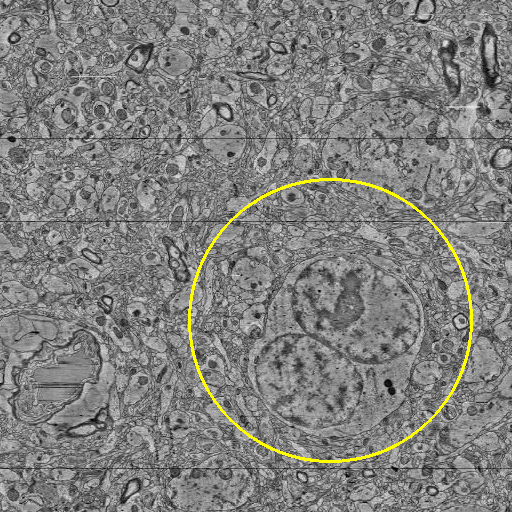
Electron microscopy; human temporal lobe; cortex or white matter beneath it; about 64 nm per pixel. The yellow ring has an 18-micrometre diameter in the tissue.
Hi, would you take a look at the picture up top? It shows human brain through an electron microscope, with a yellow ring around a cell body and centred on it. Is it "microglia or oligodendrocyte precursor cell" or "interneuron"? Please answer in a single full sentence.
The best fit for the cell in the middle of the ring is an interneuron, I reckon.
